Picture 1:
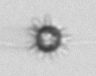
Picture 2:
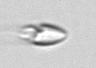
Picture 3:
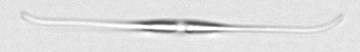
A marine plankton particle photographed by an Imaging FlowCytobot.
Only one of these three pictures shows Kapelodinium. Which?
Picture 2.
